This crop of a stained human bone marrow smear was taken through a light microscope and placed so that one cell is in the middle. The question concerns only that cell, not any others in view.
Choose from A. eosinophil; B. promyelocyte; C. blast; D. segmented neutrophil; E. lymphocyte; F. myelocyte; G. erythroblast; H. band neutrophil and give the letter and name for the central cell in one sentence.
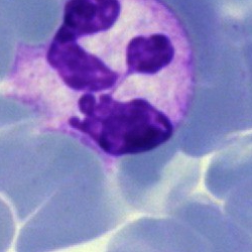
The centrally positioned cell is a segmented neutrophil, consistent with option D, which is correct.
